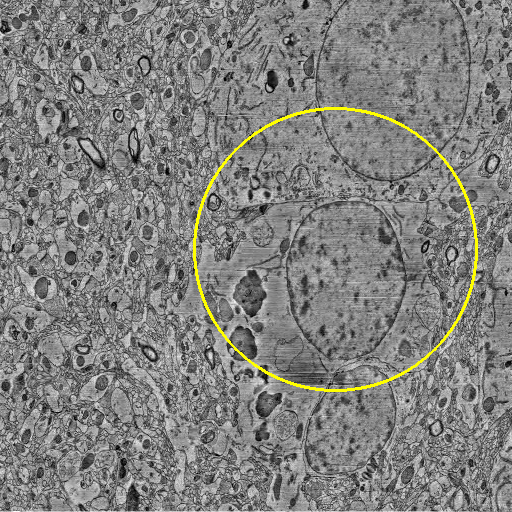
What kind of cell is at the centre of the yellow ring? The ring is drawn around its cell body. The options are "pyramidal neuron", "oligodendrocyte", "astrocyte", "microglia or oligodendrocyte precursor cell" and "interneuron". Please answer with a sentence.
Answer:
The yellow ring marks the cell body of an astrocyte.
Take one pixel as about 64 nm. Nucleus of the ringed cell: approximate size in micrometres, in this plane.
The ringed cell's nucleus is about 10 micrometres long and 8 micrometres wide in this plane.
